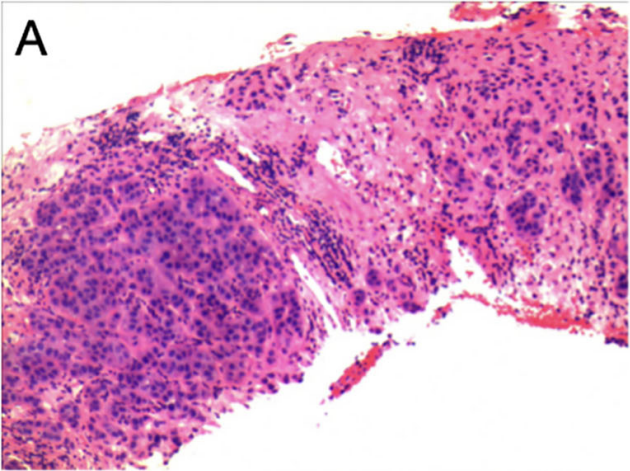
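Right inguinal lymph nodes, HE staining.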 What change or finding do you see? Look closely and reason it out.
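Cohesive nests and cords of cells lie within pink fibrous stroma. The cells in the nests have enlarged, crowded dark nuclei. Small dark lymphoid cells lie at the edge of the tissue beside the nests.
Answer: malignant epithelial tumors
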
